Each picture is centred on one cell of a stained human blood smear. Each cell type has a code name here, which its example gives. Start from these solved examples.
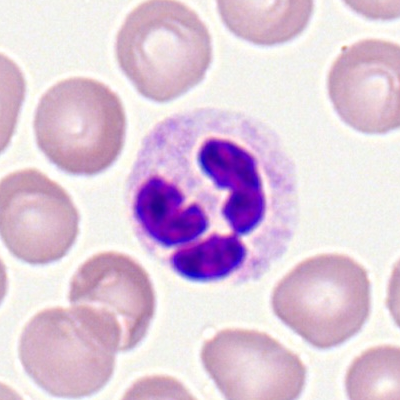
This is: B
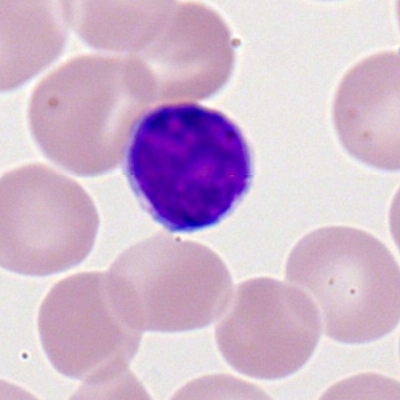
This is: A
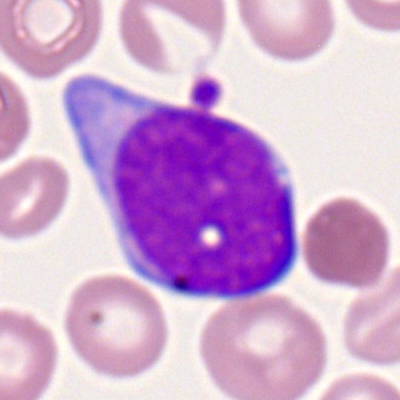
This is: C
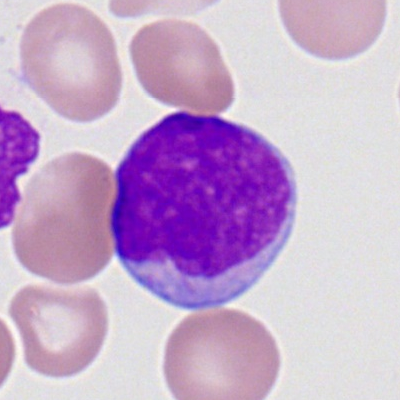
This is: C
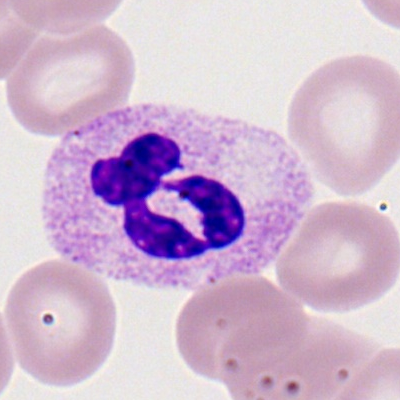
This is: B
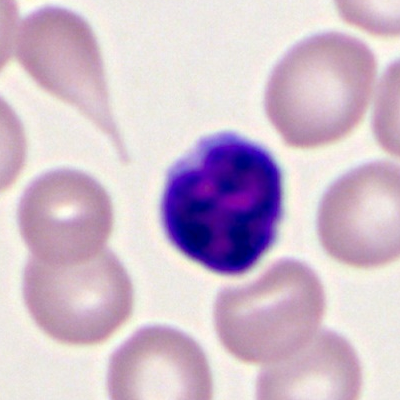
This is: A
